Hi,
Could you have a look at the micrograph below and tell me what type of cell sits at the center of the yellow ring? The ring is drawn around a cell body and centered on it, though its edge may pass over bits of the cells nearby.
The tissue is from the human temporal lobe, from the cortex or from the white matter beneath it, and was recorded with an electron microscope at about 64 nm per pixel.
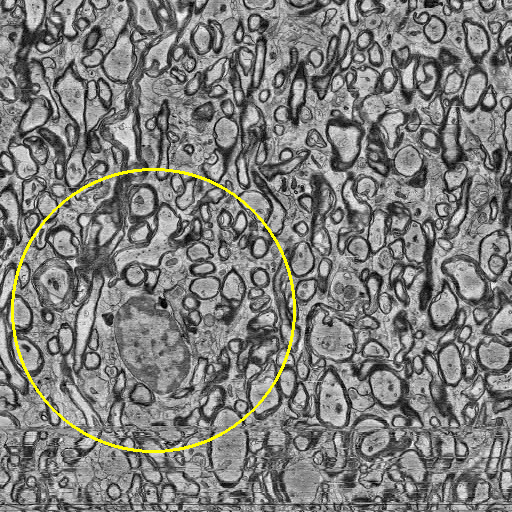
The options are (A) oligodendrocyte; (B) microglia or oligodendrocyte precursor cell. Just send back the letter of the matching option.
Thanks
B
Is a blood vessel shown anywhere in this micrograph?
No, the picture includes no blood vessel.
